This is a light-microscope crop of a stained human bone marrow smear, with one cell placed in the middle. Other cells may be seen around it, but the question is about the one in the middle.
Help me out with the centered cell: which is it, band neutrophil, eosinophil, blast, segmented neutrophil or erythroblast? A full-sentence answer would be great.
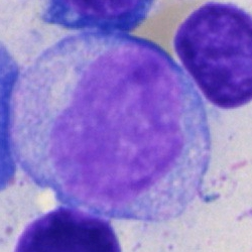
Occupying the centre of the crop is a blast.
